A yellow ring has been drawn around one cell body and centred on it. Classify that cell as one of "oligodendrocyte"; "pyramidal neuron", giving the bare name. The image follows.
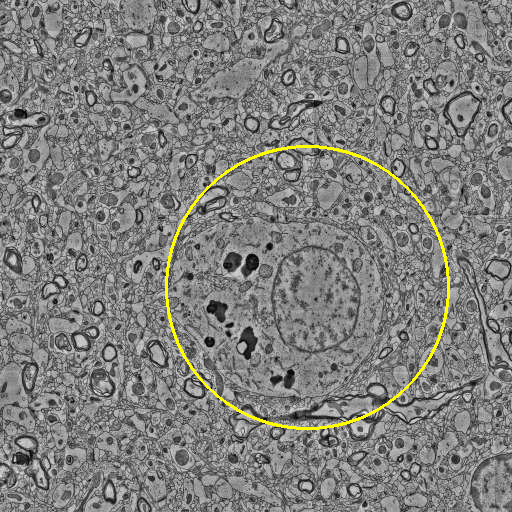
pyramidal neuron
